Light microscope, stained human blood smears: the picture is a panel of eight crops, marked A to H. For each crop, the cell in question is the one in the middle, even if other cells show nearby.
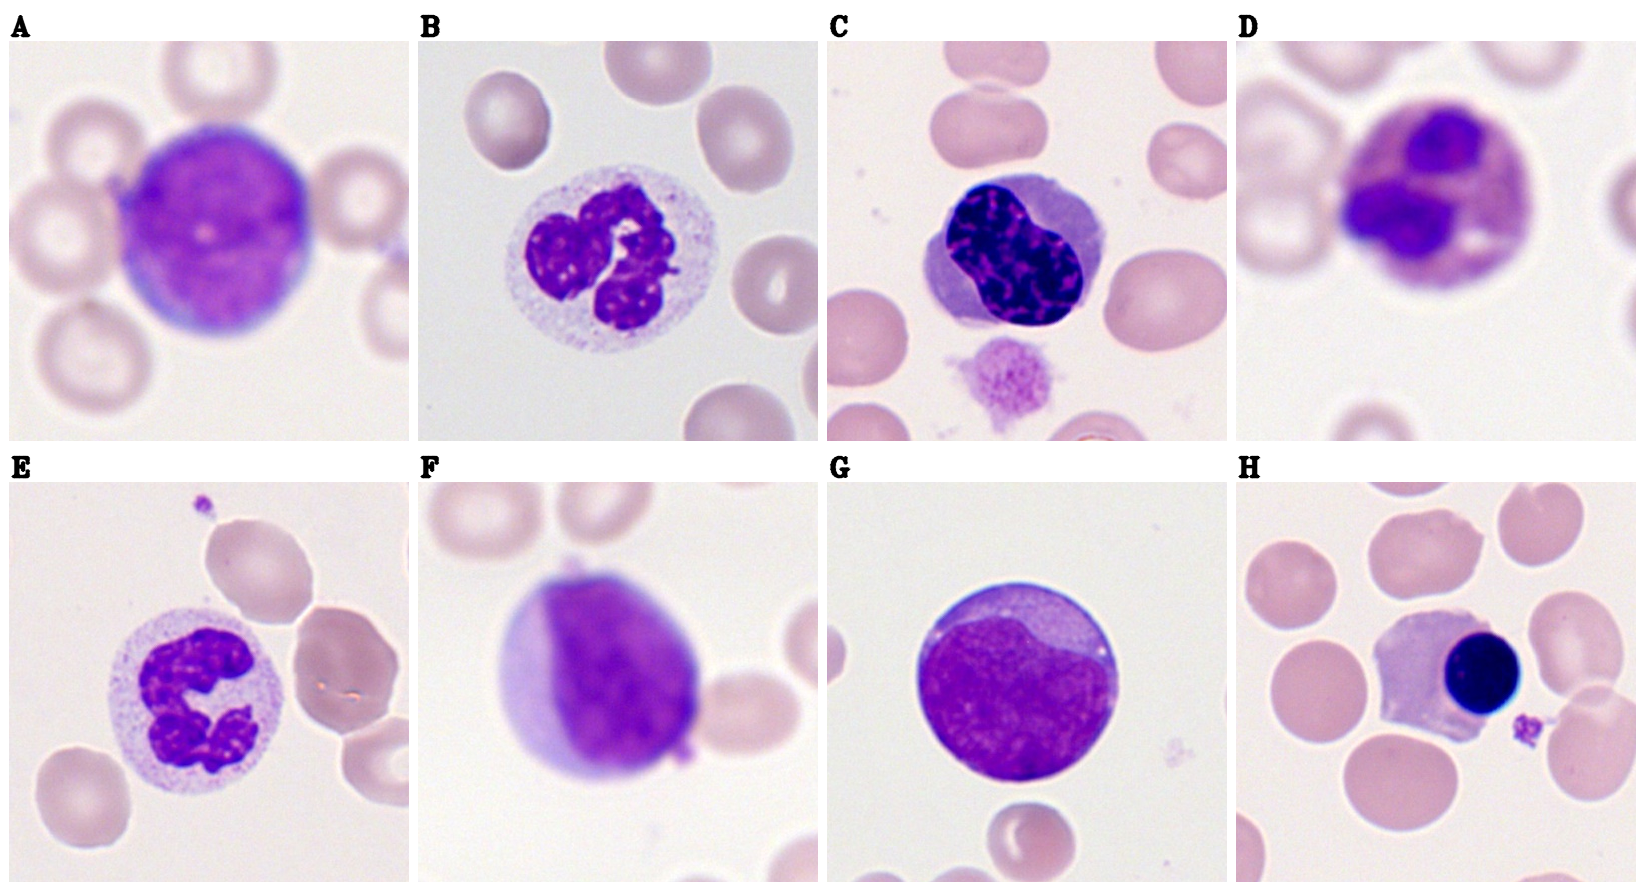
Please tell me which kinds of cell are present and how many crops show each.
myeloblast: 3
segmented neutrophil: 2
erythroblast: 2
eosinophil: 1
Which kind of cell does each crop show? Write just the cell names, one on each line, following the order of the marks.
myeloblast
segmented neutrophil
erythroblast
eosinophil
segmented neutrophil
myeloblast
myeloblast
erythroblast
